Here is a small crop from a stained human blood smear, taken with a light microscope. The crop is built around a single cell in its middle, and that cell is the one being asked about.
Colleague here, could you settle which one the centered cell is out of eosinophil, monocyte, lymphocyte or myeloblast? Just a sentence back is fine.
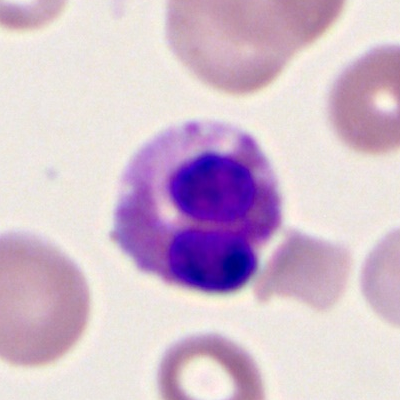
This particular crop is centered on an eosinophil.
